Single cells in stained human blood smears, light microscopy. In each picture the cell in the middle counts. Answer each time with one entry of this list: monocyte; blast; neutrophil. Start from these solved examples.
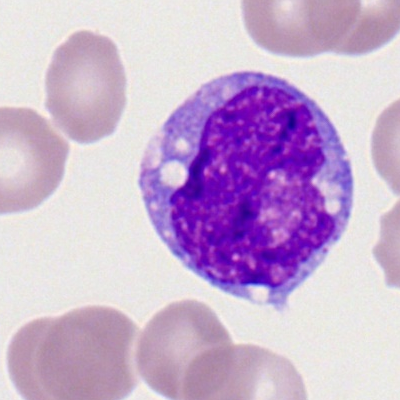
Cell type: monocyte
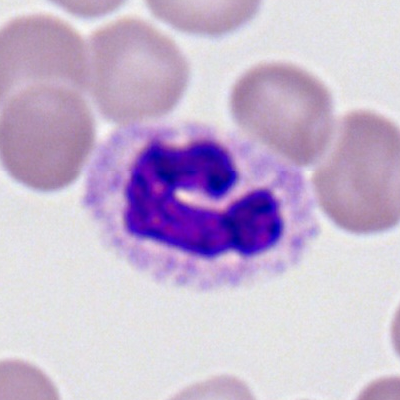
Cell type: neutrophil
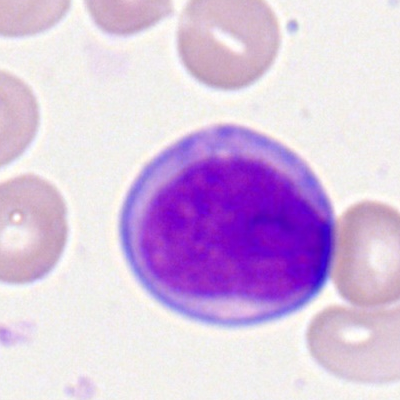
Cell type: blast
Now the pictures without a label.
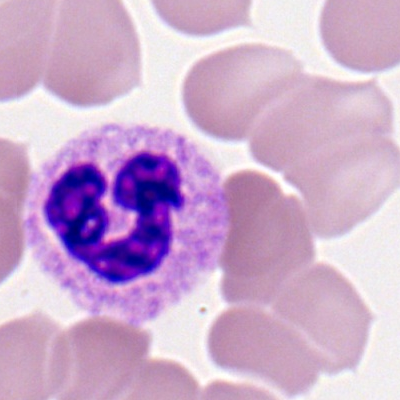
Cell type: neutrophil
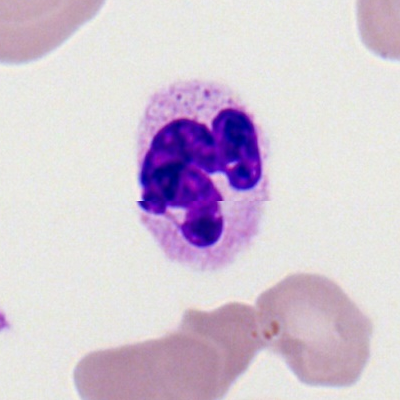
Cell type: neutrophil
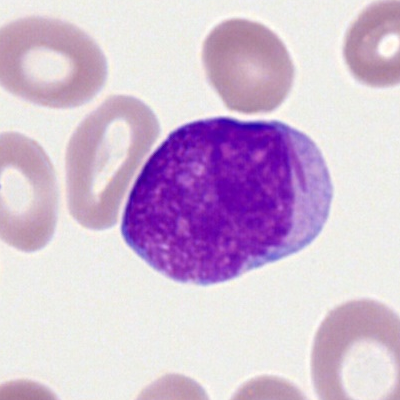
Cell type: blast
